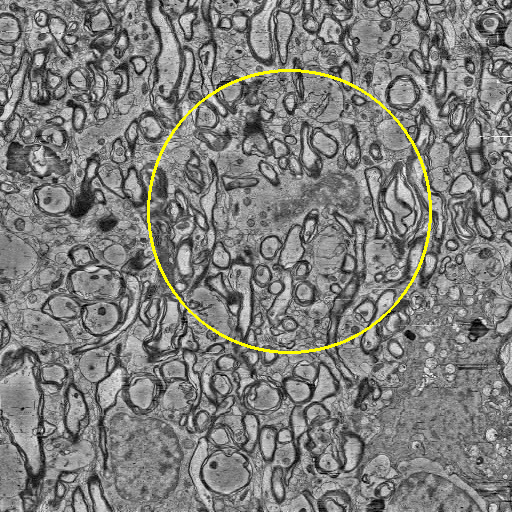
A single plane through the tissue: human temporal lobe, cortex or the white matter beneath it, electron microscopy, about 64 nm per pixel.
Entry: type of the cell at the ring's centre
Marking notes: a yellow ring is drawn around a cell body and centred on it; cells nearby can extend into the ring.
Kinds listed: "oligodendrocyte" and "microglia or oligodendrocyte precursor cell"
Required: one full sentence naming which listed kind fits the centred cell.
My entry names an oligodendrocyte as the cell whose body the yellow ring centres on.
